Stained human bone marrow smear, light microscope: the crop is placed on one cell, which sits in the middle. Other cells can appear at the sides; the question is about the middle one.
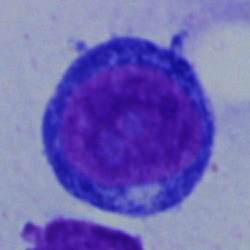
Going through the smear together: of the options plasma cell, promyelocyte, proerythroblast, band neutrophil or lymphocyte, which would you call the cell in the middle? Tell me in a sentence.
Where the crop is centred, there is a proerythroblast.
